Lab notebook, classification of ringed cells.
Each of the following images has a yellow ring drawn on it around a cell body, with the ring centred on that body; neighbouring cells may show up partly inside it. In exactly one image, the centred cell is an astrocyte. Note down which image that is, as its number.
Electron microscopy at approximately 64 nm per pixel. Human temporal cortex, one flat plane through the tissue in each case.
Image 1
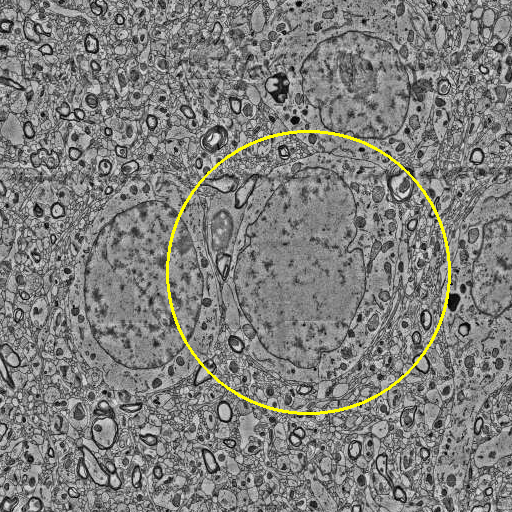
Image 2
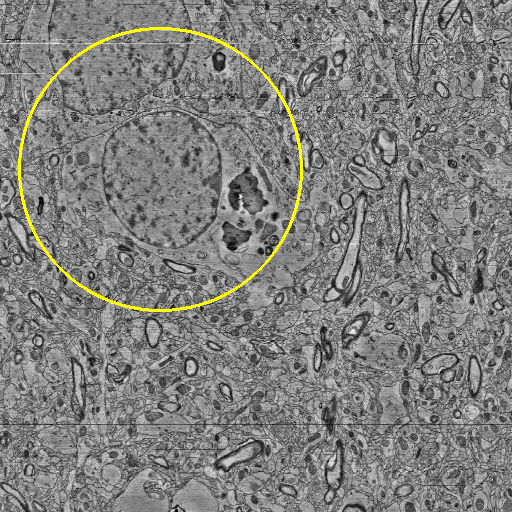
2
